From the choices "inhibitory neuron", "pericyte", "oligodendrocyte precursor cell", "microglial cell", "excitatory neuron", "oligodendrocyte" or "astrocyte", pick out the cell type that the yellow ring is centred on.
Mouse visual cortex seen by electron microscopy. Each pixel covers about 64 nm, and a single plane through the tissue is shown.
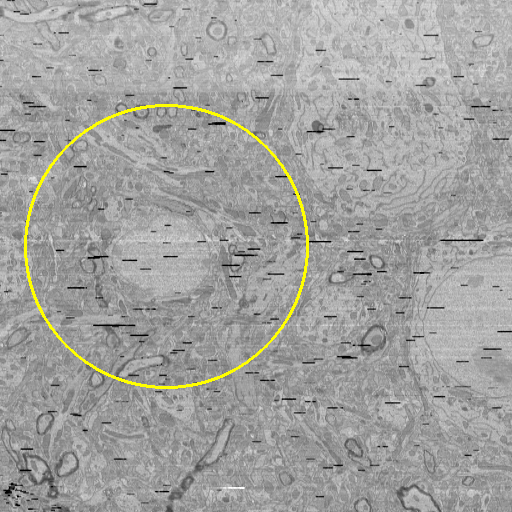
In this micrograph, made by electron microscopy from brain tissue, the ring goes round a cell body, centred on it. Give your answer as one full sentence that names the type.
The yellow ring is centred on an astrocyte, whose cell body it encircles in the picture.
